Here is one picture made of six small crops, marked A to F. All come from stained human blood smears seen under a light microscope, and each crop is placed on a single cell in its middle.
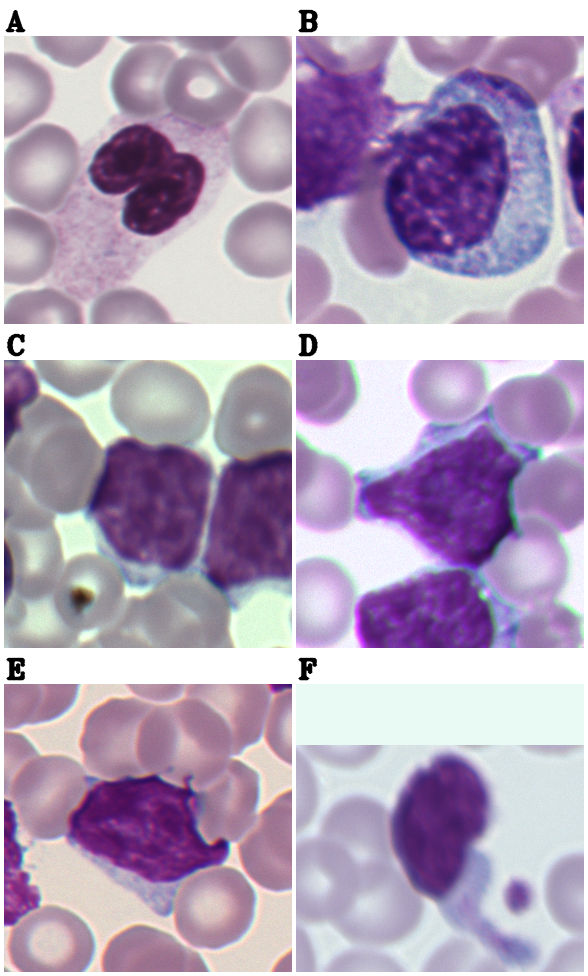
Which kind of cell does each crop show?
A: segmented neutrophil
B: promyelocyte
C: typical lymphocyte
D: typical lymphocyte
E: typical lymphocyte
F: typical lymphocyte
